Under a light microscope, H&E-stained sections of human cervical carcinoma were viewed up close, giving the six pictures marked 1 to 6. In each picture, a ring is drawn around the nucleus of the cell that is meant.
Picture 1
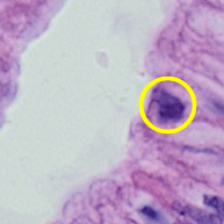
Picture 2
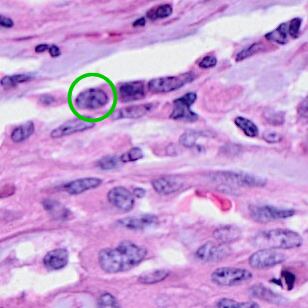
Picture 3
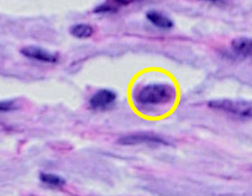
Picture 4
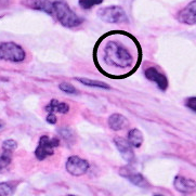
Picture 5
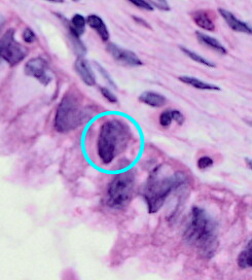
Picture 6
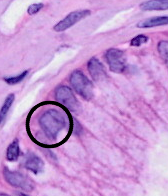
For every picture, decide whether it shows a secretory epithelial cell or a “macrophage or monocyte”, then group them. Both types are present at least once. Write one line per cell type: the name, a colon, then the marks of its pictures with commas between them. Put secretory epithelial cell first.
secretory epithelial cell: 1, 5, 6
macrophage or monocyte: 2, 3, 4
